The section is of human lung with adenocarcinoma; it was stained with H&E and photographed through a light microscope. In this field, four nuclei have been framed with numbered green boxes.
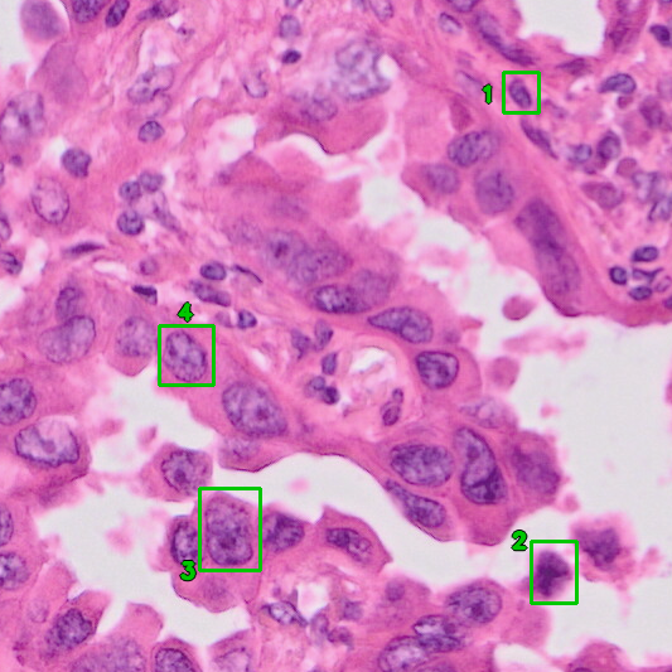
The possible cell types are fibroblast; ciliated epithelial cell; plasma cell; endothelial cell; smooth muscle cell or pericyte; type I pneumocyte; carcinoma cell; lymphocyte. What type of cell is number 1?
lymphocyte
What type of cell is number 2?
carcinoma cell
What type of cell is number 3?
carcinoma cell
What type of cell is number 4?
carcinoma cell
